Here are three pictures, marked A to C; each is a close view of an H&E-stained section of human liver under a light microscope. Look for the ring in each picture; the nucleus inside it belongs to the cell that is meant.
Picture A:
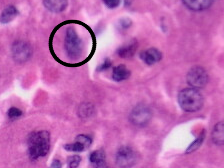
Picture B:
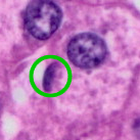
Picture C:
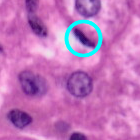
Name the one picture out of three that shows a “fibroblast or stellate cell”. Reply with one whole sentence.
It is picture A that shows the “fibroblast or stellate cell”.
